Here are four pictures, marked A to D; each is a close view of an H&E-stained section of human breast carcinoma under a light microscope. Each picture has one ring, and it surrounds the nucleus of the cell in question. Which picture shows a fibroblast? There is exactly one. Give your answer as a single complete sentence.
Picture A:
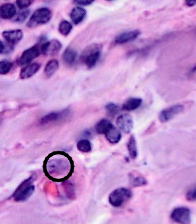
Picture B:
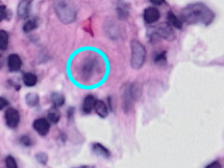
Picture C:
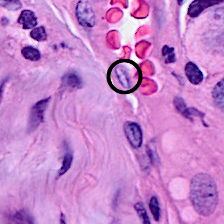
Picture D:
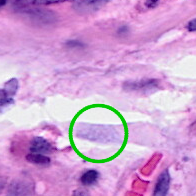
It is picture D that shows the fibroblast.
